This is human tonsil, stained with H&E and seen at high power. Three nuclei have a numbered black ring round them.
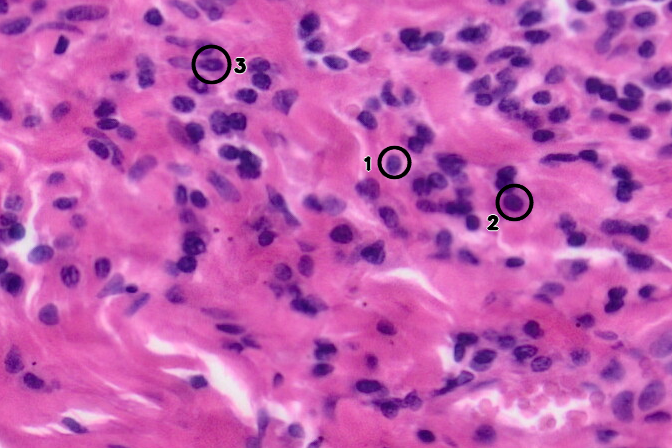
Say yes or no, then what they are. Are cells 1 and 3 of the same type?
No; cell 1 is a mast cell, and cell 3 is a plasma cell.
